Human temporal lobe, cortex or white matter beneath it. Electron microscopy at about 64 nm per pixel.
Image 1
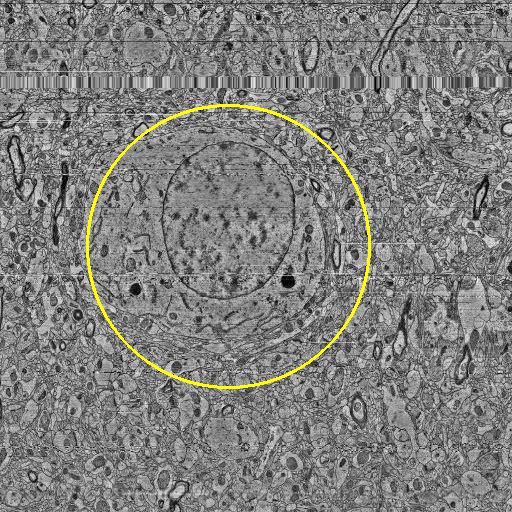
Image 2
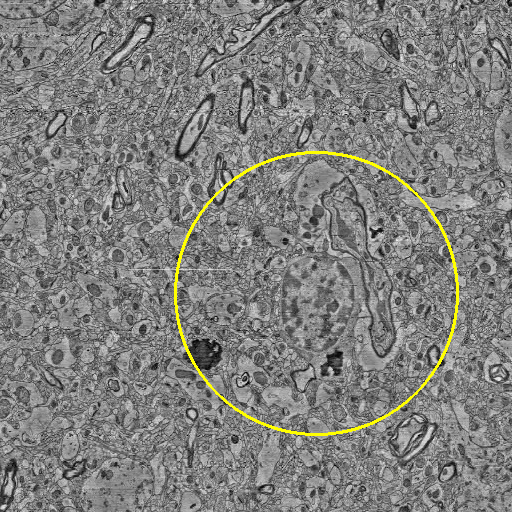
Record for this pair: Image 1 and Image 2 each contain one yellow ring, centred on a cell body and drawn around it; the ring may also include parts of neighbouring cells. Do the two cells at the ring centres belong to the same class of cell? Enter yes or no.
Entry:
no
